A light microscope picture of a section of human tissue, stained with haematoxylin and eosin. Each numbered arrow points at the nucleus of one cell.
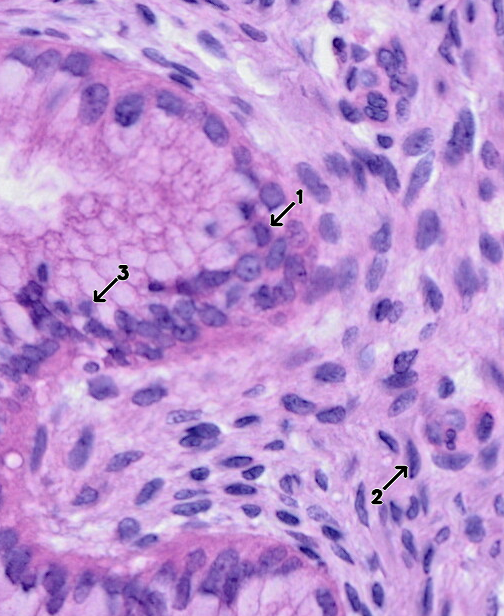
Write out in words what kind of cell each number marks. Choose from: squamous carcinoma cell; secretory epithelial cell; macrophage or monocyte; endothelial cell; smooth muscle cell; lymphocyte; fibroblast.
Cell 1 is a secretory epithelial cell, cell 2 is a fibroblast and cell 3 is a secretory epithelial cell.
